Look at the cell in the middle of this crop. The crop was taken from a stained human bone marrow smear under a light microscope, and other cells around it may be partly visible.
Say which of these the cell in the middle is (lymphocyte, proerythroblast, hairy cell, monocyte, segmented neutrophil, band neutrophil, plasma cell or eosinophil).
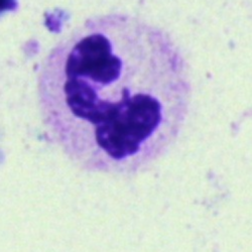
segmented neutrophil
